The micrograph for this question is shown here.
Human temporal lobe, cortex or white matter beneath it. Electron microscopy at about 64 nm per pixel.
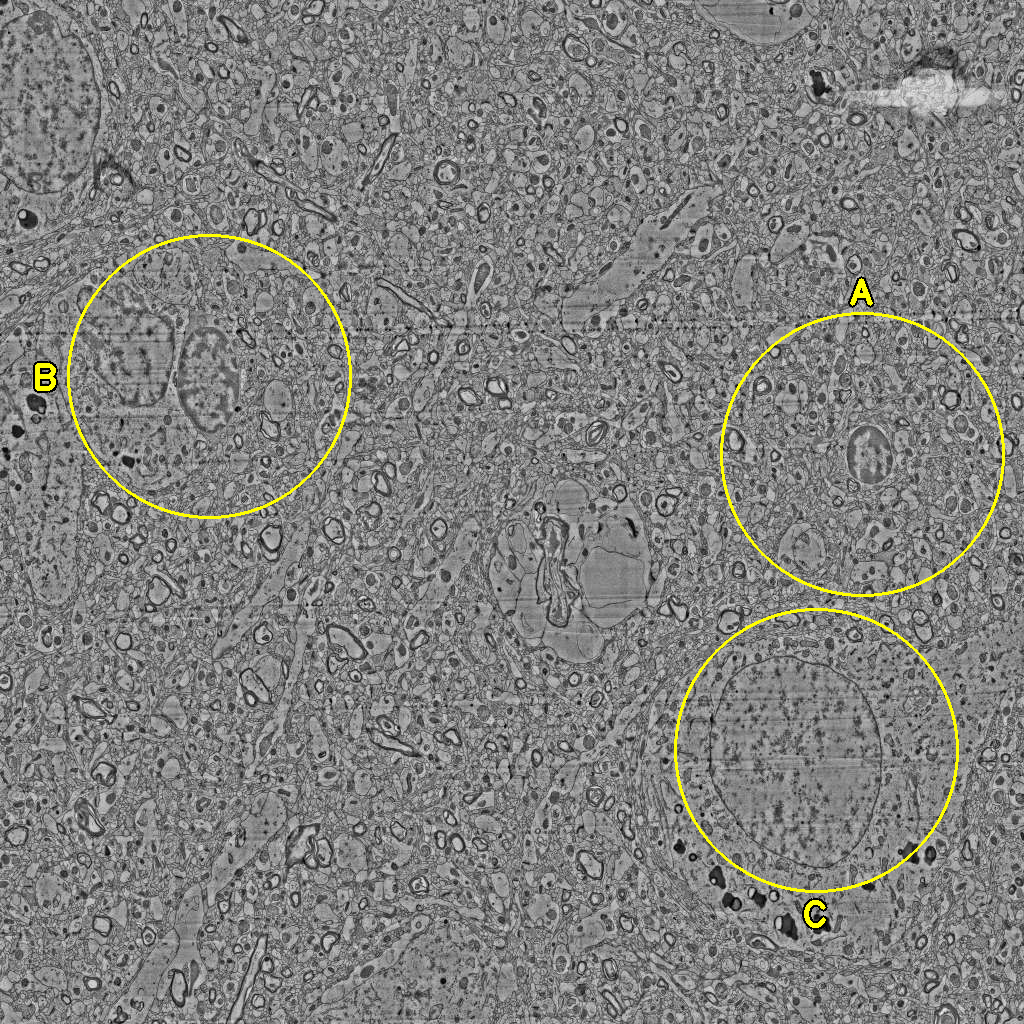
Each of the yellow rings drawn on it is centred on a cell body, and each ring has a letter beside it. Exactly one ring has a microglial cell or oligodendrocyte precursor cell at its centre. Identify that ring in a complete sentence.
The ring centred on it is ring A.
